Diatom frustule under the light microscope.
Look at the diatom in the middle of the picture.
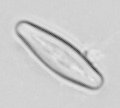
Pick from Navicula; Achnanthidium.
Achnanthidium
